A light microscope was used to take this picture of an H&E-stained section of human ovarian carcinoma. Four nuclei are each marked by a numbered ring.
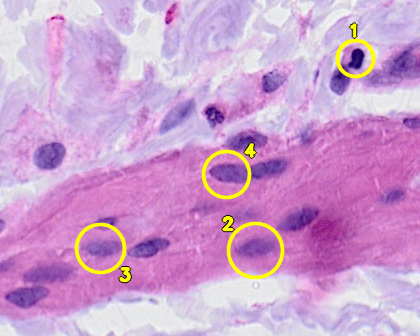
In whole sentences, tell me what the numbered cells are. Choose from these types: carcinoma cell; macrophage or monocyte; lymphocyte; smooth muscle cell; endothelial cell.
Cell 1 is a lymphocyte, cell 2 is a smooth muscle cell, cell 3 is a smooth muscle cell and cell 4 is a smooth muscle cell.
